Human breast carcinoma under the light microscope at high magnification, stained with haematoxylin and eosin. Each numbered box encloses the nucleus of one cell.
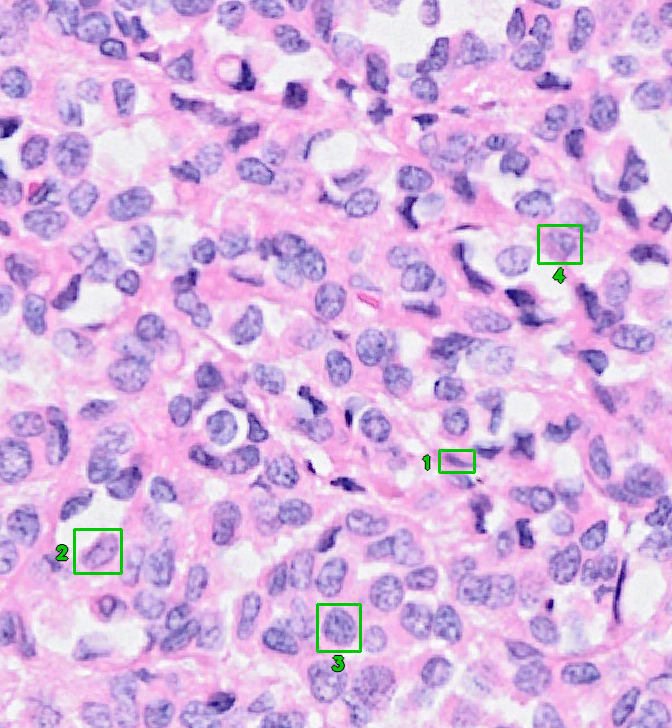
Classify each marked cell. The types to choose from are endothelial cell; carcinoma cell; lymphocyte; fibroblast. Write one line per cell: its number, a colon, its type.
1: endothelial cell
2: carcinoma cell
3: carcinoma cell
4: carcinoma cell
